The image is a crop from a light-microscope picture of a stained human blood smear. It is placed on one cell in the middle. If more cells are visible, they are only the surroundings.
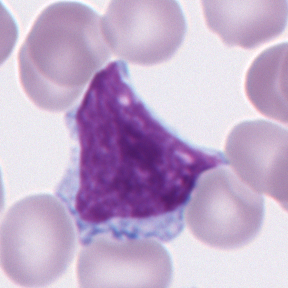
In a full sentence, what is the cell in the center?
The middle cell in this particular crop is a typical lymphocyte.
